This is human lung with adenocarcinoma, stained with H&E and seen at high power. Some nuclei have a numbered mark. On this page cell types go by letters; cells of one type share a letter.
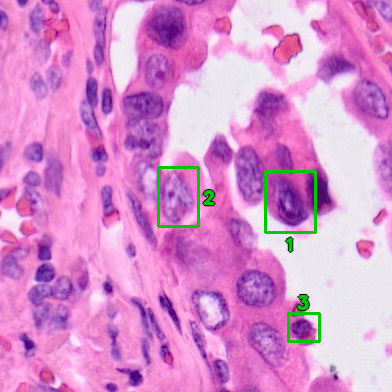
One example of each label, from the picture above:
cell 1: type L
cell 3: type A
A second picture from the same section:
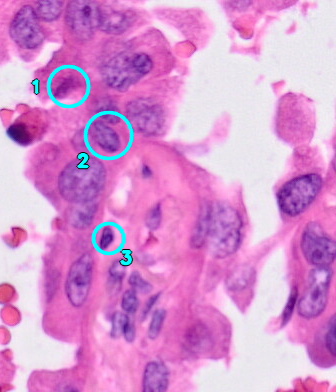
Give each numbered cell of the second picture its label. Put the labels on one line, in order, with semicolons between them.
type L; type L; type A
